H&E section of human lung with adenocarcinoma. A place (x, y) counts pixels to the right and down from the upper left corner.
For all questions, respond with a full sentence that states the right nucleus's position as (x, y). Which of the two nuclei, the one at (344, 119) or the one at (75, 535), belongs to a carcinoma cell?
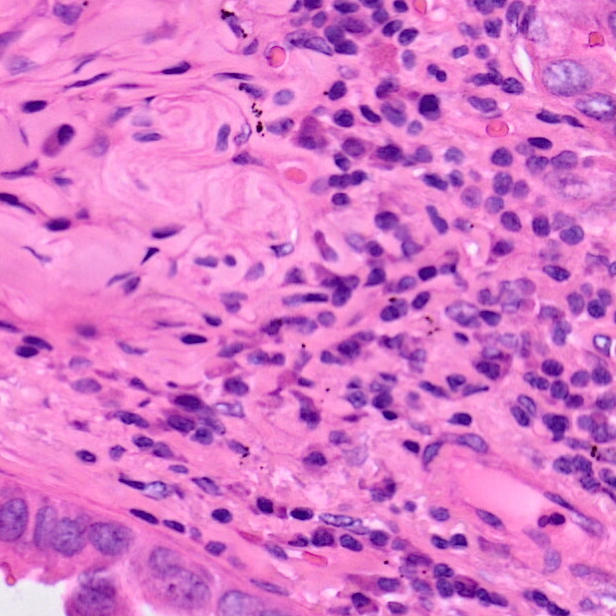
The nucleus at (75, 535), rather than the other, belongs to a carcinoma cell.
